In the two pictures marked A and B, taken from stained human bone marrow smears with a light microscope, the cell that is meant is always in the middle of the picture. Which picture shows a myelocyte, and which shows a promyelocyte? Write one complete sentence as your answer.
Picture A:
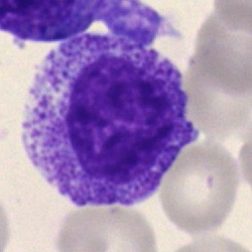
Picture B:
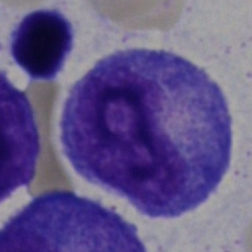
Picture A is of a myelocyte, and picture B is of a promyelocyte.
